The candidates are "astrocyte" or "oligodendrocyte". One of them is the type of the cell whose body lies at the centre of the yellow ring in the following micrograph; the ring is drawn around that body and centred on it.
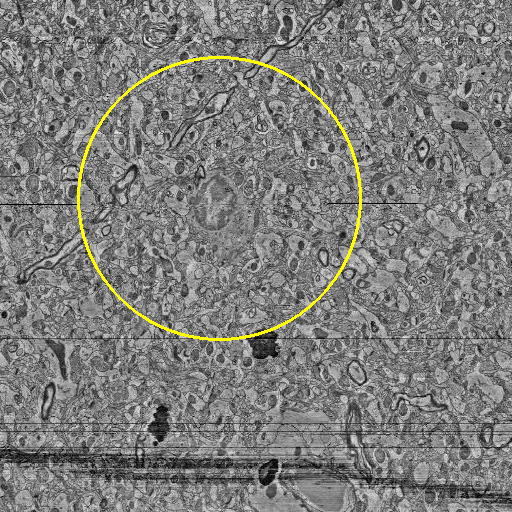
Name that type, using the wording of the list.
oligodendrocyte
